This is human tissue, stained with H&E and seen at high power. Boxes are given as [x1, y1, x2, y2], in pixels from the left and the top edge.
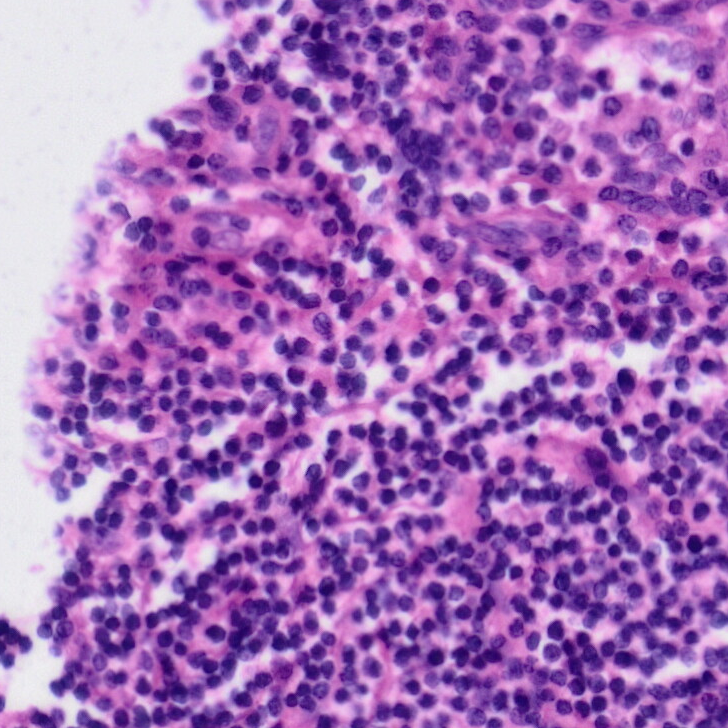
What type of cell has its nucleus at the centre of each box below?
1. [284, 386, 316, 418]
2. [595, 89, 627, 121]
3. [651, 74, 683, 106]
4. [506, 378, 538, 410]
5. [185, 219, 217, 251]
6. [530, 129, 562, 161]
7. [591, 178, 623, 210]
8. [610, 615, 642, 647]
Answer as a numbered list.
1. small lymphocyte
2. plasma cell
3. plasma cell
4. small lymphocyte
5. endothelial cell
6. plasma cell
7. plasma cell
8. small lymphocyte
